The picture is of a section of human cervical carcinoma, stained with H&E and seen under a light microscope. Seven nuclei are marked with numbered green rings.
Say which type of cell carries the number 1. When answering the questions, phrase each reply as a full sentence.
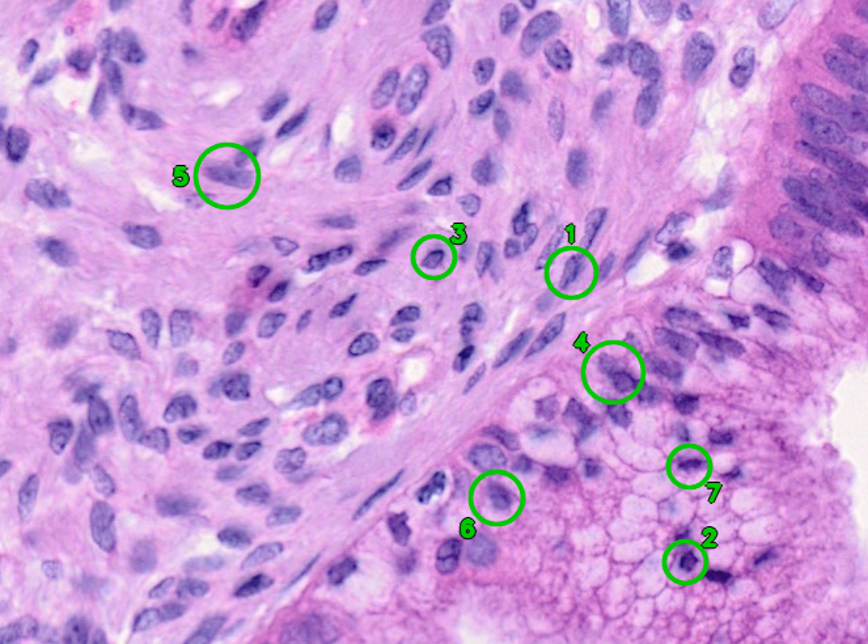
To a fibroblast belongs the nucleus marked 1.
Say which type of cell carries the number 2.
Regarding cell 2, this one is a secretory epithelial cell.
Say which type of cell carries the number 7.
Recognised here as a secretory epithelial cell is the cell numbered 7.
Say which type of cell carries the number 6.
The cell tagged with 6 in this tissue section is a secretory epithelial cell.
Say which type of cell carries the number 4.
It is as a secretory epithelial cell that the cell numbered 4 is identified.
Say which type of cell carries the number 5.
The marked cell bearing number 5 is a fibroblast.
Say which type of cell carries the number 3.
The nucleus with number 3 is that of a fibroblast.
